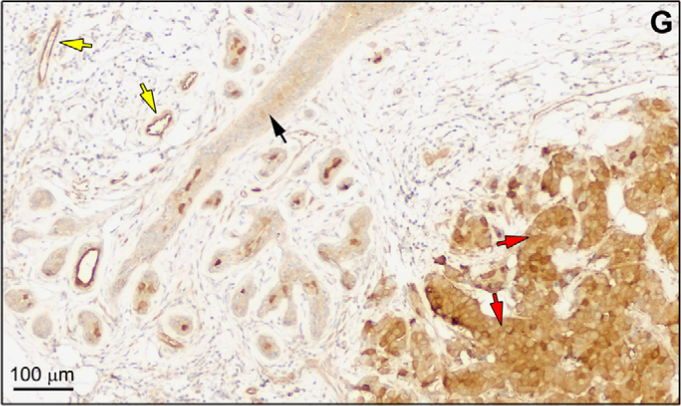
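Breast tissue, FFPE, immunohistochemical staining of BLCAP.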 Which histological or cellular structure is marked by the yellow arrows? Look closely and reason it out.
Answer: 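The arrows point to small tubular profiles with a lumen in the loose stroma. Their walls are stained brown. The answer: vessels.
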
